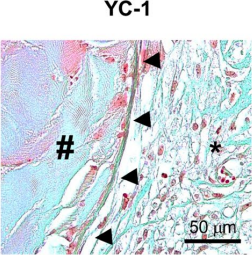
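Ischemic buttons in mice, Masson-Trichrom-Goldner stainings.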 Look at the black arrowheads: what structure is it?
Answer: collagen capsules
